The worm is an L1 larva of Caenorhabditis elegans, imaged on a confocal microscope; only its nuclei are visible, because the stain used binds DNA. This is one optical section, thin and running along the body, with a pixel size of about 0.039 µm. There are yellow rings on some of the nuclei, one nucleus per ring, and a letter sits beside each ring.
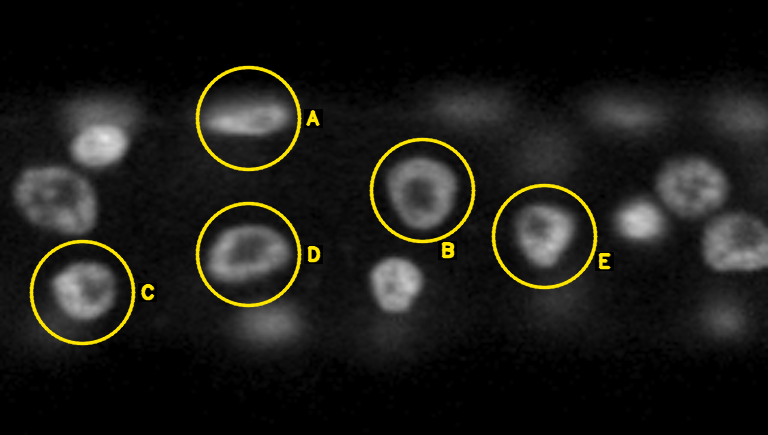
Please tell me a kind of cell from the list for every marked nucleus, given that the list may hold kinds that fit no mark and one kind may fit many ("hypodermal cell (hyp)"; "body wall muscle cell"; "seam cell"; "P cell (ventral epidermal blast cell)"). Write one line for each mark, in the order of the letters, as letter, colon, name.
A: body wall muscle cell
B: hypodermal cell (hyp)
C: P cell (ventral epidermal blast cell)
D: seam cell
E: seam cell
